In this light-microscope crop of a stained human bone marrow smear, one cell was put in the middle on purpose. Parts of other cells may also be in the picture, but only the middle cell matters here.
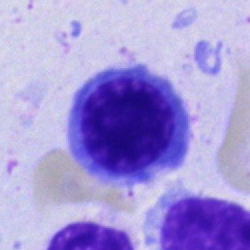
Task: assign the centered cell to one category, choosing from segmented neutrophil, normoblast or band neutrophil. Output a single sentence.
The cell at the heart of this crop is a normoblast.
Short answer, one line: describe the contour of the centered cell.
If you check the edge, you will find it smooth without projections.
